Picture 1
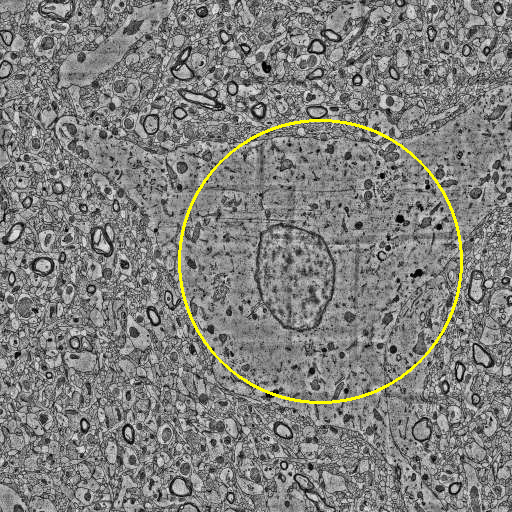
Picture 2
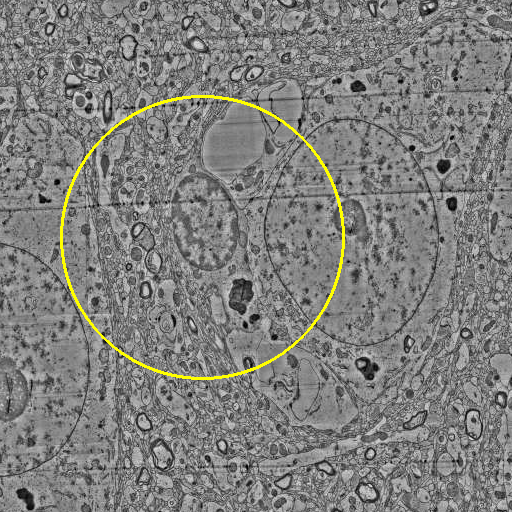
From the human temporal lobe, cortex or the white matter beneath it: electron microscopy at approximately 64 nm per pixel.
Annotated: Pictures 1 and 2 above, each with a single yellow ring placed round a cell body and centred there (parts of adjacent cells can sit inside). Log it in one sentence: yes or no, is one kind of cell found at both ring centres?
No, the ring centres of the two pictures hold cells of two kinds.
